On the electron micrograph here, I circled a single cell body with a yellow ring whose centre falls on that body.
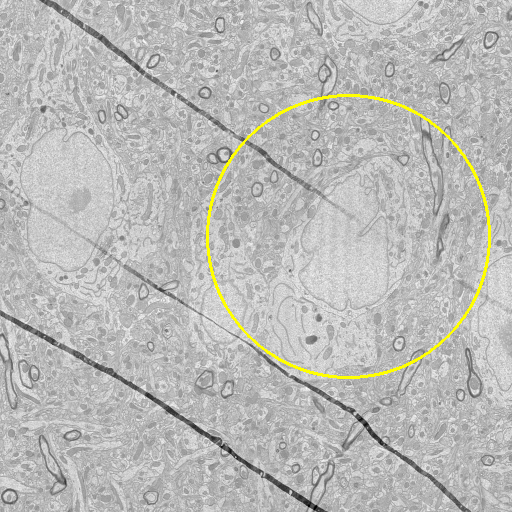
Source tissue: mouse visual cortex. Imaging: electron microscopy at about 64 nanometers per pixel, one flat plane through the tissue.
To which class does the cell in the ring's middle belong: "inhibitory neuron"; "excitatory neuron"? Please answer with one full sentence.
In this picture, the cell body circled at the ring's centre belongs to an inhibitory neuron.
